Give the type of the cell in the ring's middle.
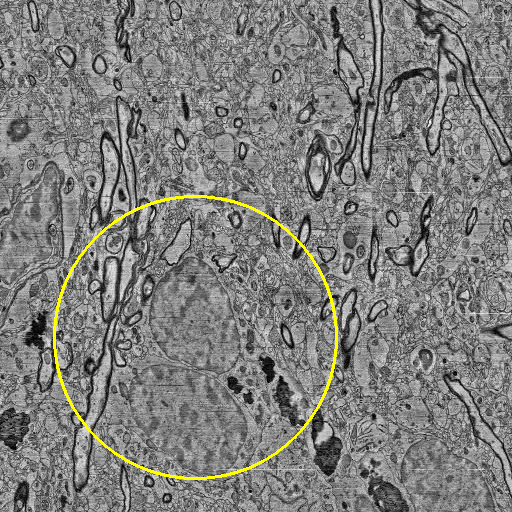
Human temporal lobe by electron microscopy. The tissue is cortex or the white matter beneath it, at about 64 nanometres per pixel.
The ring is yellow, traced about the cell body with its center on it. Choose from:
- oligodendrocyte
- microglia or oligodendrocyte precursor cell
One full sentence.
Here, an oligodendrocyte is the cell lying at the center of the yellow ring.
